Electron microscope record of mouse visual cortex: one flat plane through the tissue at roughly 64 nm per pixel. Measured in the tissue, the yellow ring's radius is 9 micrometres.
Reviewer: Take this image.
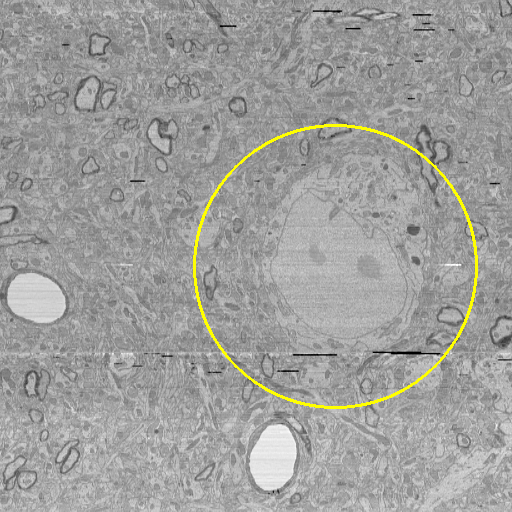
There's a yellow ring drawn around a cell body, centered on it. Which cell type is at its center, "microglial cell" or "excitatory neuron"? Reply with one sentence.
At the center of the yellow ring is an excitatory neuron.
